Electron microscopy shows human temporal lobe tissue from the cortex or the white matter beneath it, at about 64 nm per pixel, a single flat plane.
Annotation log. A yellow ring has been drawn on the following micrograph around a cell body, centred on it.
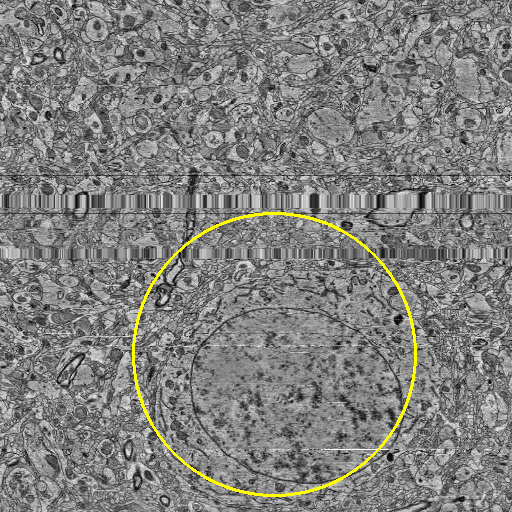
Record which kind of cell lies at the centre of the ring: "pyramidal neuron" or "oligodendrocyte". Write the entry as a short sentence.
The cell the ring is centred on is a pyramidal neuron.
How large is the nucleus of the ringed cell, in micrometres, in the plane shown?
The nucleus is approximately 14 micrometers long by 11 micrometers wide in this plane.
